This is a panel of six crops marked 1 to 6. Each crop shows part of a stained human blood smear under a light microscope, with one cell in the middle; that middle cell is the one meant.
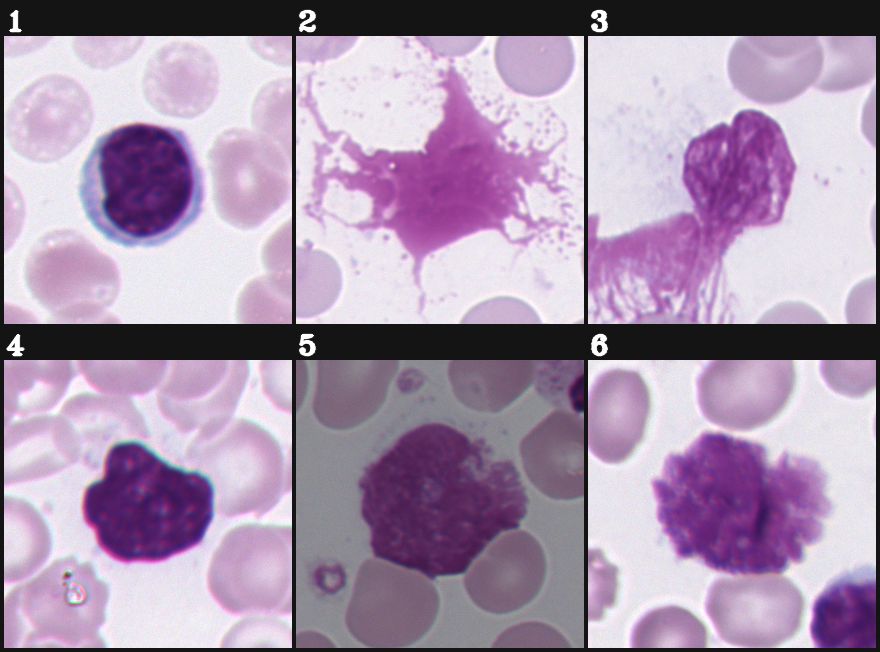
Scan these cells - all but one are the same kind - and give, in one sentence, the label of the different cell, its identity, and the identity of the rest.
The different crop is crop 1, a typical lymphocyte; all the others show smudge cells.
